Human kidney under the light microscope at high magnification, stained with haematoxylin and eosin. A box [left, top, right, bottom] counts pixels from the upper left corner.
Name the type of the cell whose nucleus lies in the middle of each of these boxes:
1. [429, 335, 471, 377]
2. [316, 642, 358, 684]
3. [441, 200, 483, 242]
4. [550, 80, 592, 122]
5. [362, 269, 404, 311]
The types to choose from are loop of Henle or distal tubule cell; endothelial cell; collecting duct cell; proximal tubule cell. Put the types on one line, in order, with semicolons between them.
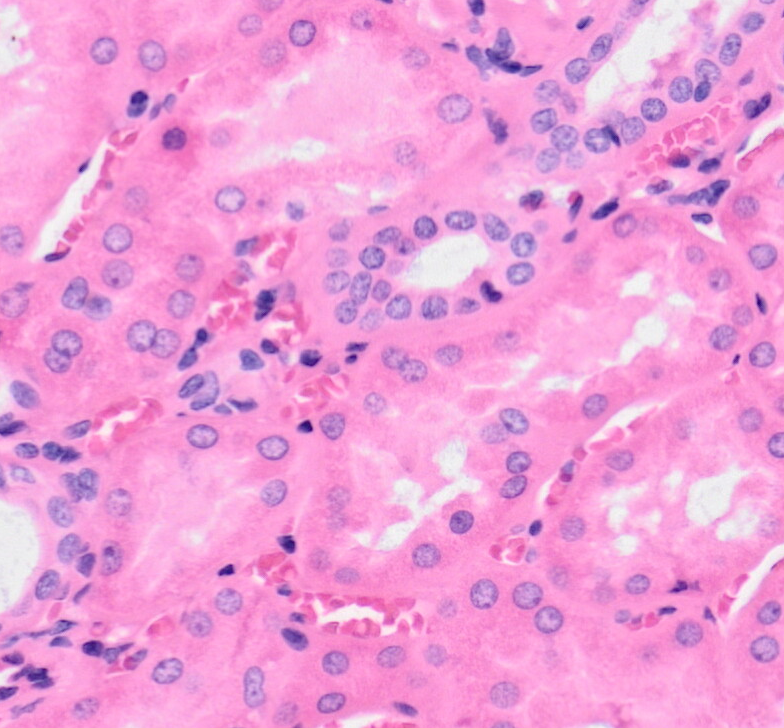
proximal tubule cell; proximal tubule cell; collecting duct cell; collecting duct cell; collecting duct cell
